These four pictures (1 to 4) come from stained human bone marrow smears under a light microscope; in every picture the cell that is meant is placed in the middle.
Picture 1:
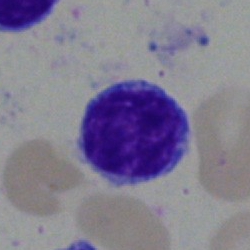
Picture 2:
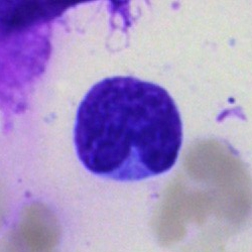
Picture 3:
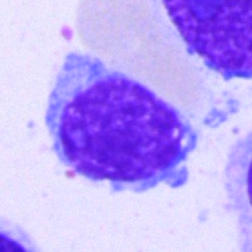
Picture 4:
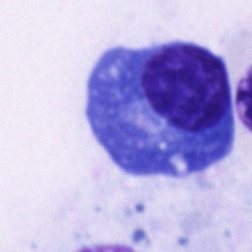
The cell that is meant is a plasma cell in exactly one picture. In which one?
4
